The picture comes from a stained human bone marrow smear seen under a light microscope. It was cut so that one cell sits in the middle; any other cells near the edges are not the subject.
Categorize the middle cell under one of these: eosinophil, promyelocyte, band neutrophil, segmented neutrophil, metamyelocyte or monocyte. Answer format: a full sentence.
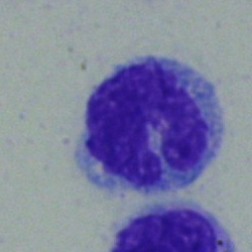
The central element of this crop is a cell, namely a monocyte.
